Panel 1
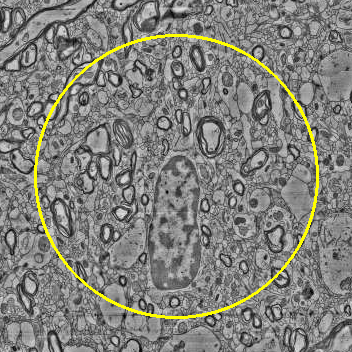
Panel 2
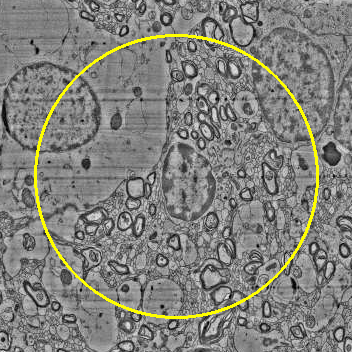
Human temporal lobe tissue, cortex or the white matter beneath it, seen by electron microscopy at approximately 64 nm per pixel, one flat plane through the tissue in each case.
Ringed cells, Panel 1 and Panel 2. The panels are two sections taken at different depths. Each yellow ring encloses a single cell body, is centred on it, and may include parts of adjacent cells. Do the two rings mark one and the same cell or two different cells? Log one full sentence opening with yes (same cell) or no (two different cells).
No, the rings single out two cells that are separate from each other.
